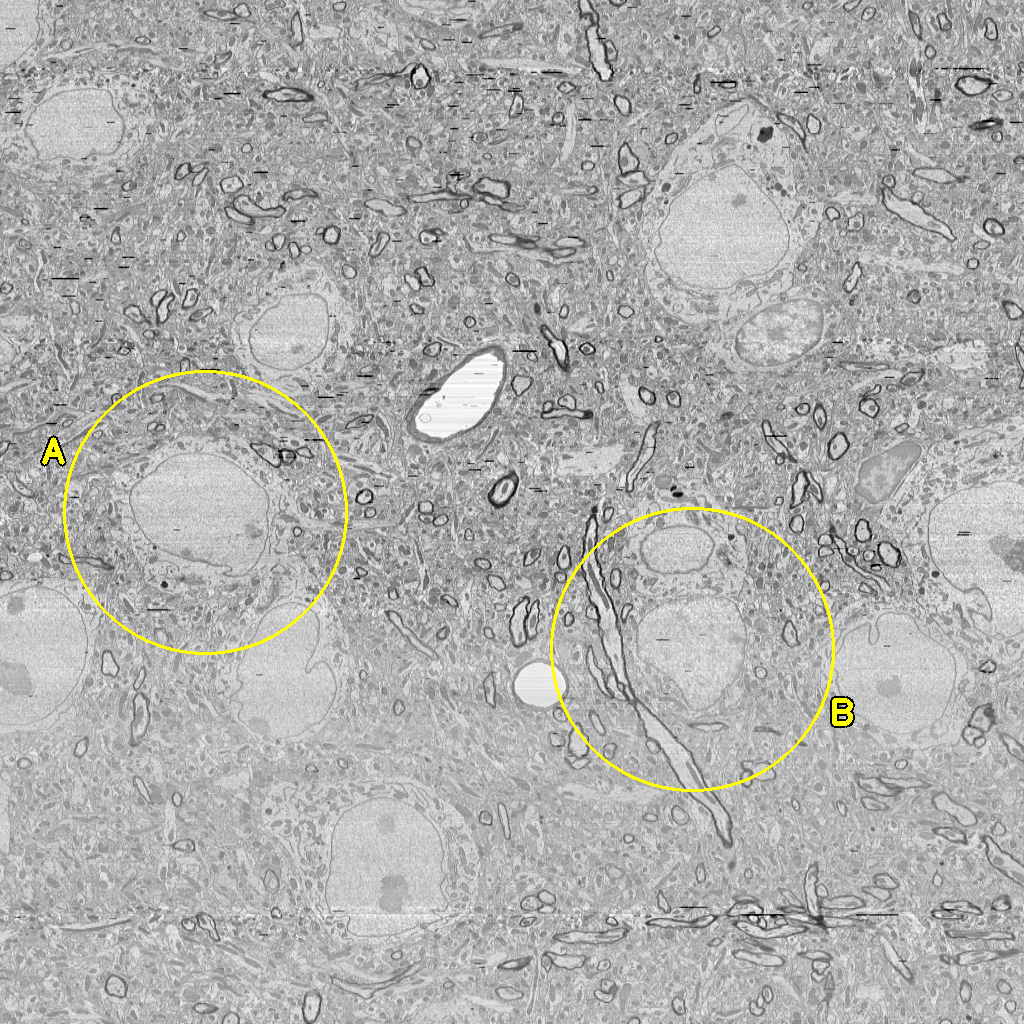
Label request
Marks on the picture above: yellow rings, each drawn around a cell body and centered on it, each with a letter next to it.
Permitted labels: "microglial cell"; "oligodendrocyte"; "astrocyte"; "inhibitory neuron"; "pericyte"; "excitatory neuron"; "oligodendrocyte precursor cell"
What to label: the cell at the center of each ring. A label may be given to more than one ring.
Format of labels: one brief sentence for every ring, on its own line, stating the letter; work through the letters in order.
The cell at the center of ring A is an excitatory neuron.
The cell at the center of ring B is an astrocyte.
